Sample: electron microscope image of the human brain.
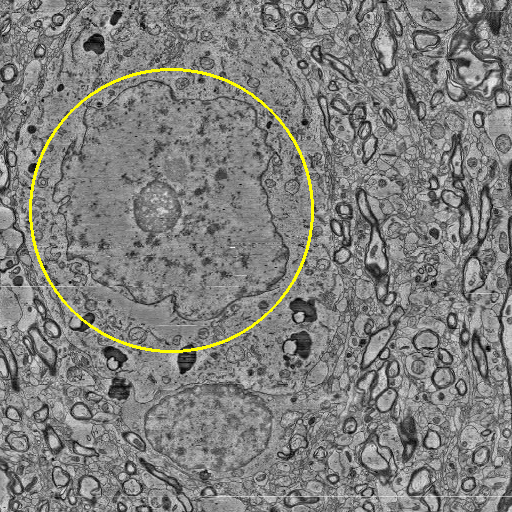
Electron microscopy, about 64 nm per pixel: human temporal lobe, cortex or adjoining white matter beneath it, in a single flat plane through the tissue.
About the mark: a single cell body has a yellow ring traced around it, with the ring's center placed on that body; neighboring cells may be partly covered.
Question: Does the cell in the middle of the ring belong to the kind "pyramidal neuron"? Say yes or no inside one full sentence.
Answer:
Yes, the cell at the ring's center in this image belongs to that kind.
